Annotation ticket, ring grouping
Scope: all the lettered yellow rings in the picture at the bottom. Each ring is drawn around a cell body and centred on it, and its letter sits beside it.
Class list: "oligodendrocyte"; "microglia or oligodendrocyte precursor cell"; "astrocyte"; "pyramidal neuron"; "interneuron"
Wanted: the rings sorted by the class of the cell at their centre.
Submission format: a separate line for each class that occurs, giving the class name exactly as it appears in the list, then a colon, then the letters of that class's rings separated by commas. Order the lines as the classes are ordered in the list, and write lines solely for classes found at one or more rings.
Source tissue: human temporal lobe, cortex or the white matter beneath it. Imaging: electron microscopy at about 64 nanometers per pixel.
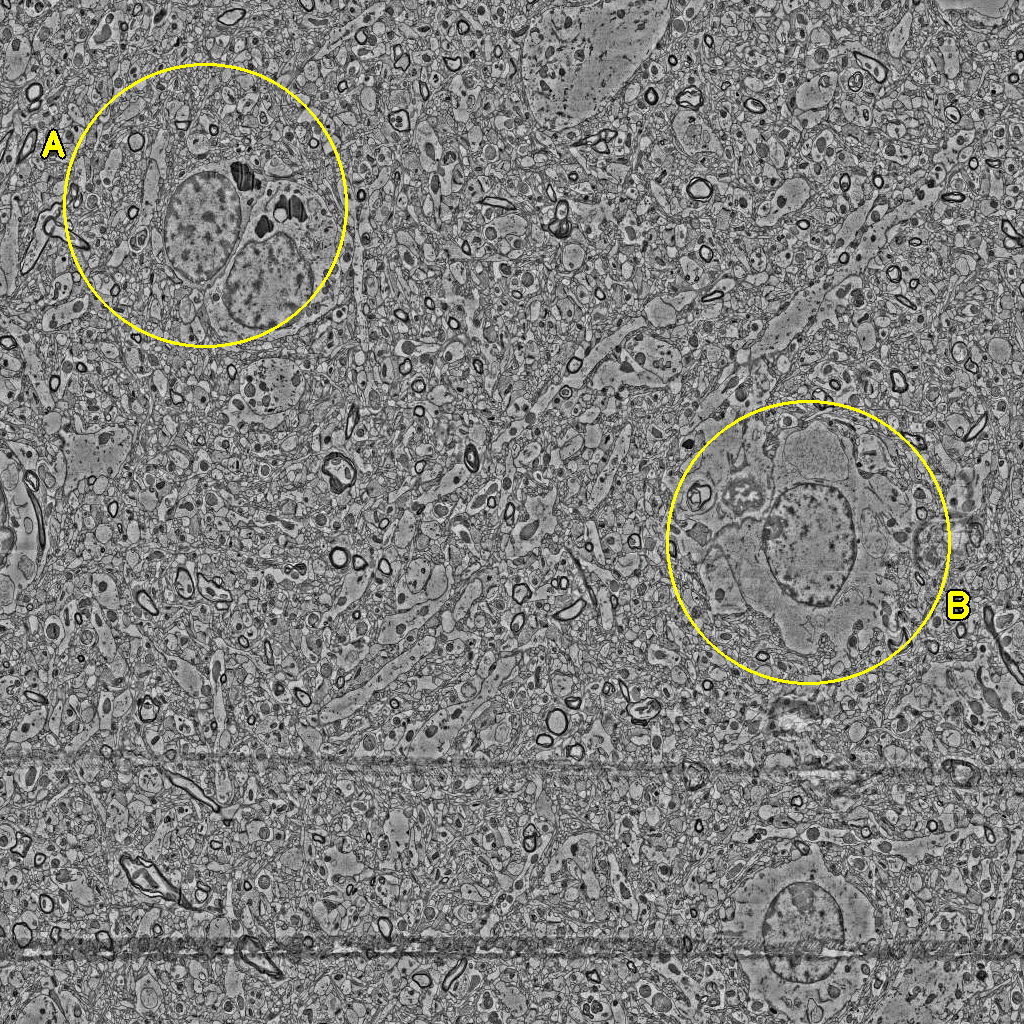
oligodendrocyte: A
astrocyte: B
